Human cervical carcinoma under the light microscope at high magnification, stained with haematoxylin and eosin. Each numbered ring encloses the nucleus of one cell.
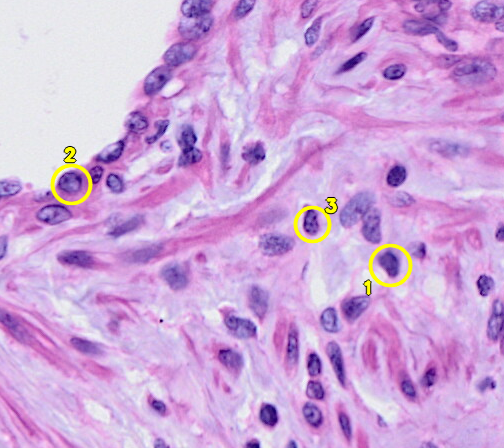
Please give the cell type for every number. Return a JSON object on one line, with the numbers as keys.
{"1": "lymphocyte", "2": "endothelial cell", "3": "lymphocyte"}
